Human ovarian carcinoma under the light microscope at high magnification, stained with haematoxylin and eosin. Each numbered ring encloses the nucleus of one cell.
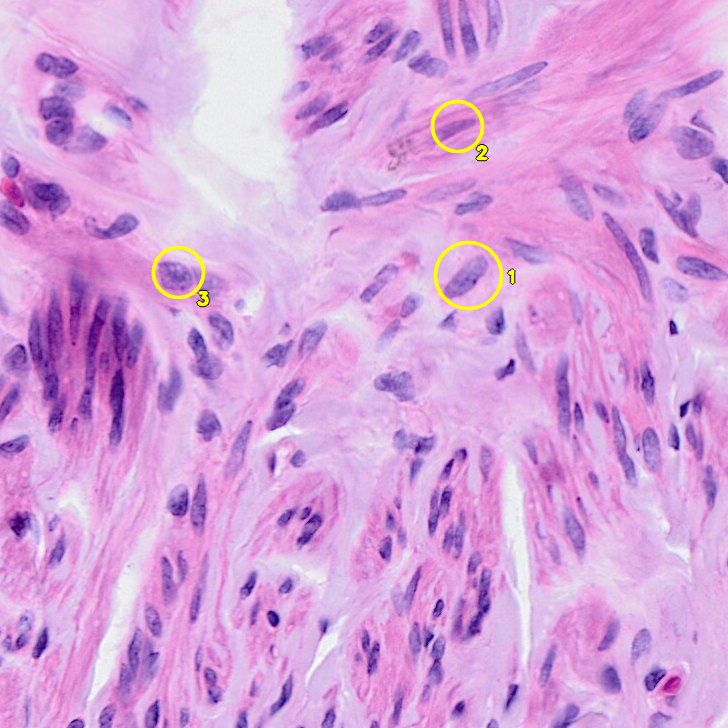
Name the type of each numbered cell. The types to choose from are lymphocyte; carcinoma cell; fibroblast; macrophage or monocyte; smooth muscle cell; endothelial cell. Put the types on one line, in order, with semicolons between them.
smooth muscle cell; smooth muscle cell; endothelial cell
